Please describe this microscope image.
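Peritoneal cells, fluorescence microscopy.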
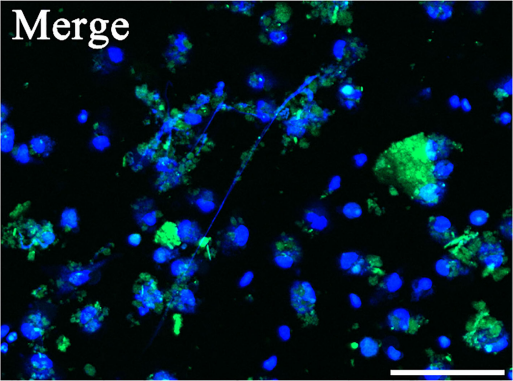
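The green material forms granular clumps of varying size, many lying against or around the nuclei. A large green aggregate in the upper right sits directly beside a cluster of blue nuclei. In the upper left, fine blue threads run diagonally through a band of green clumps, linking them.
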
